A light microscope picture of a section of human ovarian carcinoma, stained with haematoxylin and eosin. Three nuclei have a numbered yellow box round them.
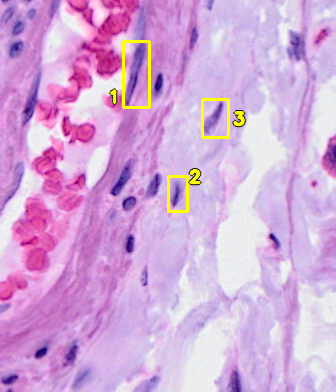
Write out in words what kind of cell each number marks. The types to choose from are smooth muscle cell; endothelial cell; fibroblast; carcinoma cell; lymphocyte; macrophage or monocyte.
Cell 1 is an endothelial cell, cell 2 is a fibroblast and cell 3 is a fibroblast.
